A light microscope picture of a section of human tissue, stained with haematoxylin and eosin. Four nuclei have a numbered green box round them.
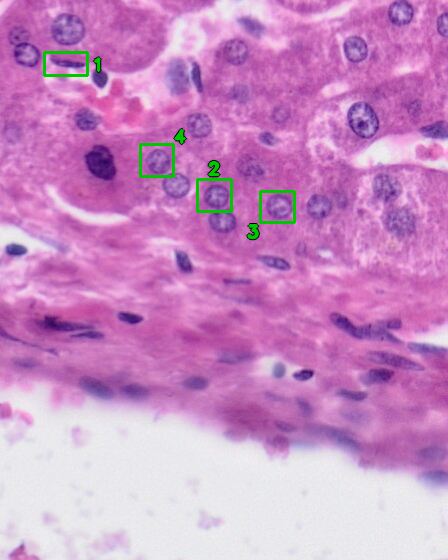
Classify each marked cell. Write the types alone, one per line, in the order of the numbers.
endothelial cell
hepatocyte
hepatocyte
hepatocyte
